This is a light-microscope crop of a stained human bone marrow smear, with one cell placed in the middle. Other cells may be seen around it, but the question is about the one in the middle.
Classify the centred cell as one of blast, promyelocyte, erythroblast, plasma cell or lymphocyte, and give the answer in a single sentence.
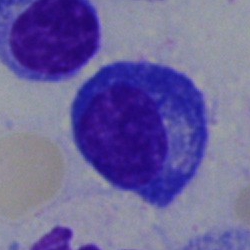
Occupying the centre of the crop is a plasma cell.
